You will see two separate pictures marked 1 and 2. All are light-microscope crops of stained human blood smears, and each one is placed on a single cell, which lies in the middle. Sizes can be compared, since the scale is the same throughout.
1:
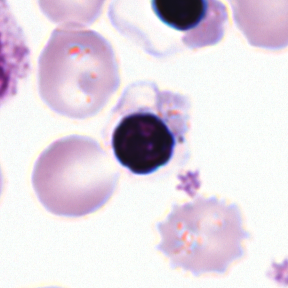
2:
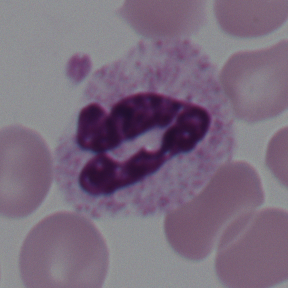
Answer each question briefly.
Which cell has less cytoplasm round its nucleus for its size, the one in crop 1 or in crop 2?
1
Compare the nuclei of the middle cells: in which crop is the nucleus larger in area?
2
